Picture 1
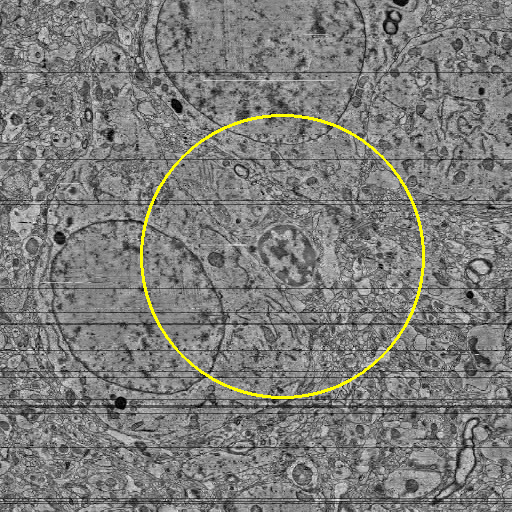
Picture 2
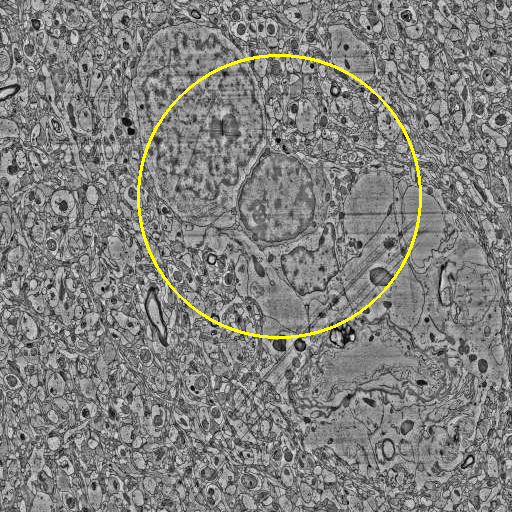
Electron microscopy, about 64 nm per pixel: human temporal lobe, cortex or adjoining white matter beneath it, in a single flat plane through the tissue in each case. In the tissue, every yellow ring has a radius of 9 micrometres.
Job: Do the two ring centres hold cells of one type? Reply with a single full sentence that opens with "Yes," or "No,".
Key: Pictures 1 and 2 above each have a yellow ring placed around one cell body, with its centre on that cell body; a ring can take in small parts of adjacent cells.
No, the cells at the two ring centres are of two separate types.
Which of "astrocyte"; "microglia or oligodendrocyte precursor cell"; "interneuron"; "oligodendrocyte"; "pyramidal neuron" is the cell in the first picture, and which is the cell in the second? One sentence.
The two differ: the first cell is a microglial cell or oligodendrocyte precursor cell and the second is an oligodendrocyte.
